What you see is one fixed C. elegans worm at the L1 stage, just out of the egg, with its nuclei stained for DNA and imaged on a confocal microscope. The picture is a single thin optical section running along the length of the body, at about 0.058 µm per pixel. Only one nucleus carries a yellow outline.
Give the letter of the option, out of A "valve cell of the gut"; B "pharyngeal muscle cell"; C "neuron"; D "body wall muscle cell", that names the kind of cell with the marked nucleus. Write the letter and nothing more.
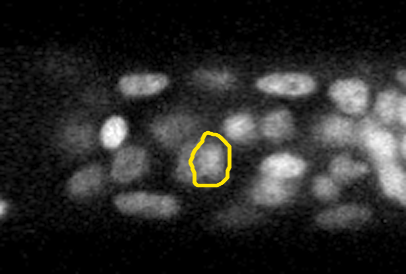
A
